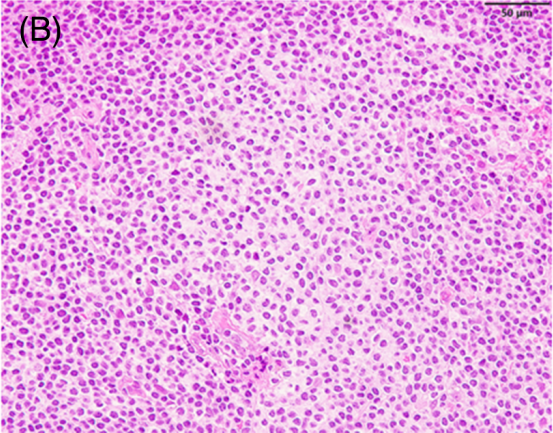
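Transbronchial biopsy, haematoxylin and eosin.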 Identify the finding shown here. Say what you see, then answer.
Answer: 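A dense, uninterrupted sheet of cells fills the whole field. Little stroma lies between the cells apart from a few thin vessels.
Hence: diffuse proliferation of atypical cells with distorted nuclei.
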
